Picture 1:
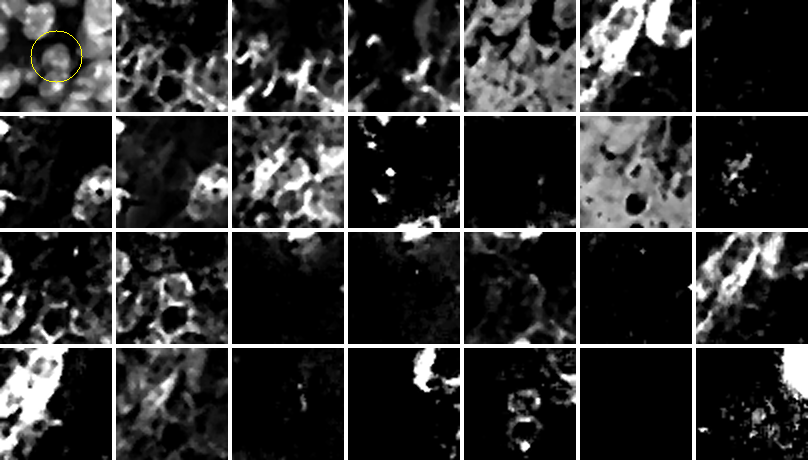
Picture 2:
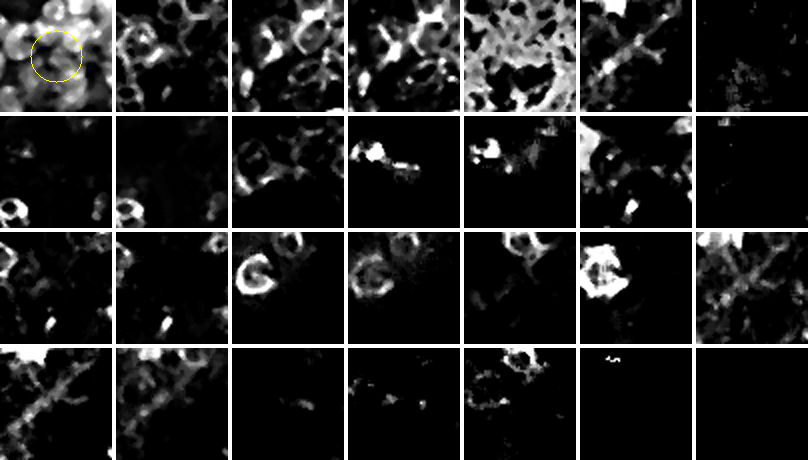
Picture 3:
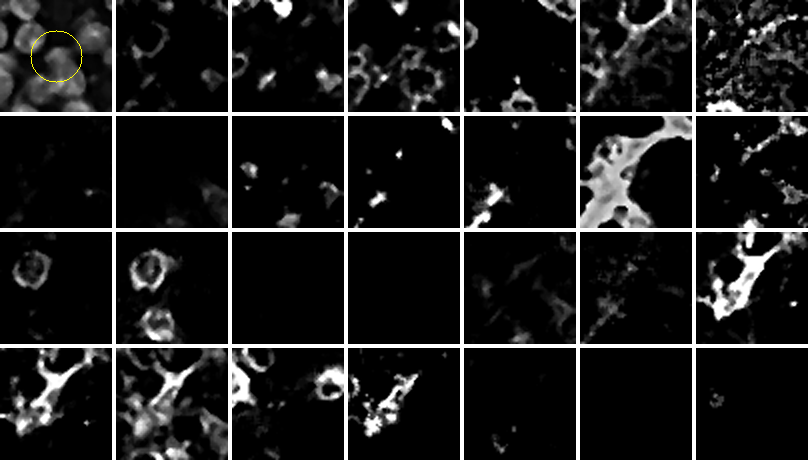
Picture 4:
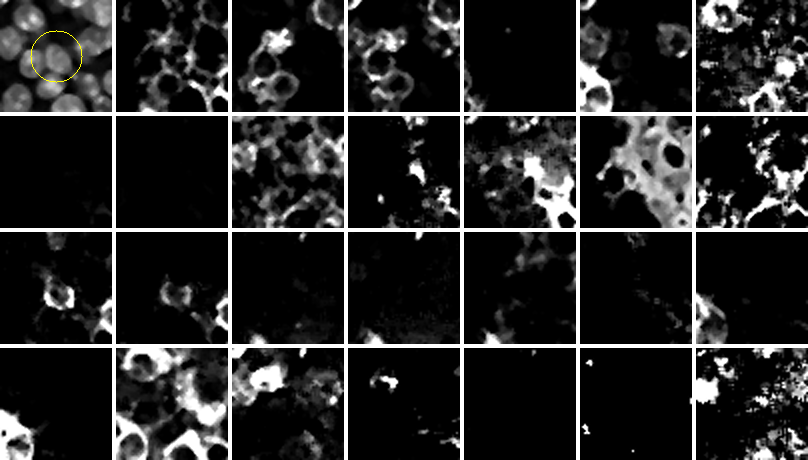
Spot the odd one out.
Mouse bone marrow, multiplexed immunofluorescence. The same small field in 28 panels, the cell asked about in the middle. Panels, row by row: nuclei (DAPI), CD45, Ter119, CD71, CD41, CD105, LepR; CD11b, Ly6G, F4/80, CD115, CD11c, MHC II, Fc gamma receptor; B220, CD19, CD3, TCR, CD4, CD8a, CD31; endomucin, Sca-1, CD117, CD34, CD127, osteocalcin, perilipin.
Picture 4 (a conventional dendritic cell among capillary endothelial cells).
